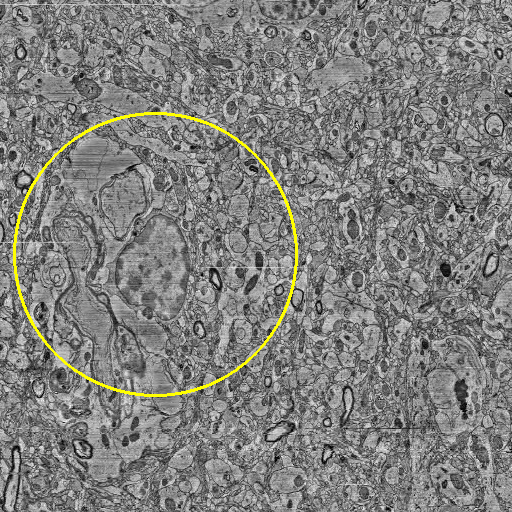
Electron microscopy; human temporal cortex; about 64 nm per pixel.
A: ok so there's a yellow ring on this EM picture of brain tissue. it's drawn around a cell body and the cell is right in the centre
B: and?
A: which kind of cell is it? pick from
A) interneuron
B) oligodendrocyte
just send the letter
B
